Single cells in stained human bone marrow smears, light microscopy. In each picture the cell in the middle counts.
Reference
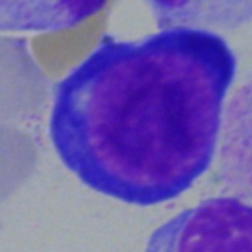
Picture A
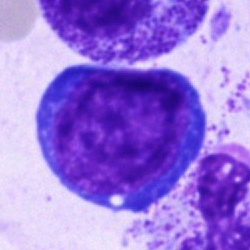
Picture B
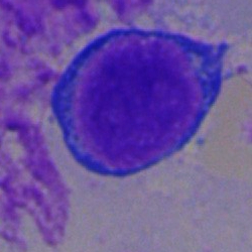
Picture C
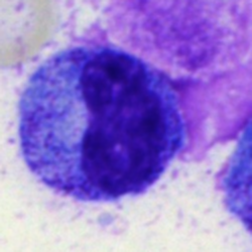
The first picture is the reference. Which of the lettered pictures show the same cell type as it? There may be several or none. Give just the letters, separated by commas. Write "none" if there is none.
A, B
